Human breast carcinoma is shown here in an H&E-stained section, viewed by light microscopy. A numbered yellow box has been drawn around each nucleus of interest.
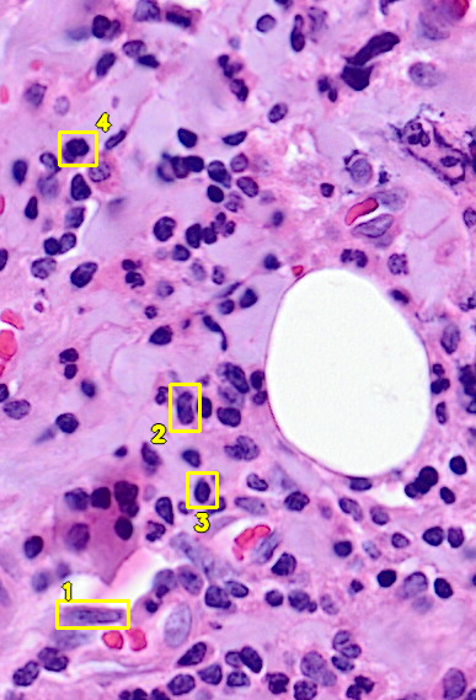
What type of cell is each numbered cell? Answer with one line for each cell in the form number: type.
1: endothelial cell
2: lymphocyte
3: lymphocyte
4: lymphocyte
